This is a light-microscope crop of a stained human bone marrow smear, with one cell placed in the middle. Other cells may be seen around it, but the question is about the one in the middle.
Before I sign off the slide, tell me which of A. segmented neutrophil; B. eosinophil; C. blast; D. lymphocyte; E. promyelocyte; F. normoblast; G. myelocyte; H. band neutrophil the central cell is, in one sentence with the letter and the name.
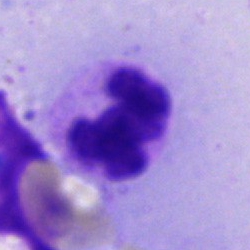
Option A correctly names the cell in the middle as a segmented neutrophil.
